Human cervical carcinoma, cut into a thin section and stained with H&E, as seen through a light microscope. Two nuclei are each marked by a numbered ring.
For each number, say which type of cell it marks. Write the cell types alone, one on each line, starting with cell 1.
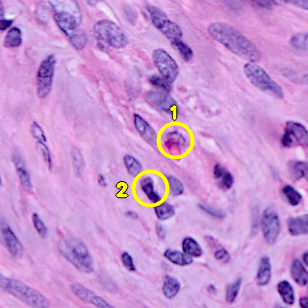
endothelial cell
lymphocyte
